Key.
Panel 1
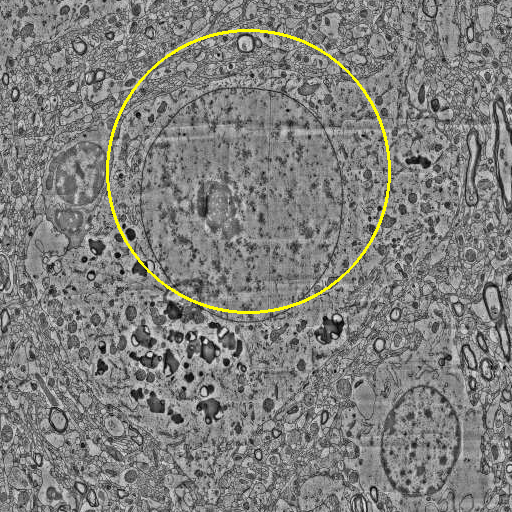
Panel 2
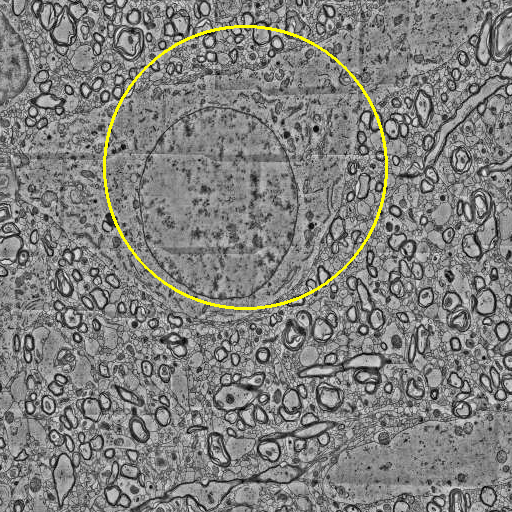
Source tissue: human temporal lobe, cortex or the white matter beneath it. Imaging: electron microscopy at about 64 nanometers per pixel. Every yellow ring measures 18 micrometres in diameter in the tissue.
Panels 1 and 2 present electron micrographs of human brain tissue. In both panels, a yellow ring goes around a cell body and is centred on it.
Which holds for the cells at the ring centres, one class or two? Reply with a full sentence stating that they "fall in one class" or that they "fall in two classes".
Taken together, the ring-centre cells of the two panels fall in one class.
